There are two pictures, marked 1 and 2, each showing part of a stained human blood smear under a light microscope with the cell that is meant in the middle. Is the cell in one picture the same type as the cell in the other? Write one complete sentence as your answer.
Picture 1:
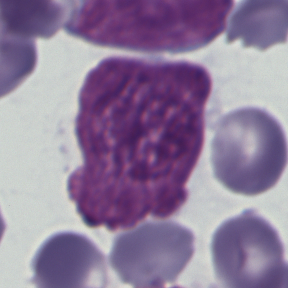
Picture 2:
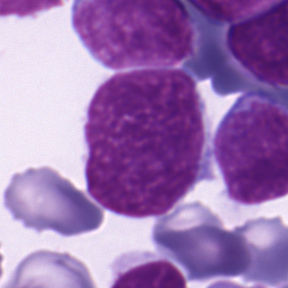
No, the types are not the same, since picture 1 shows a smudge cell and picture 2 a myeloblast.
